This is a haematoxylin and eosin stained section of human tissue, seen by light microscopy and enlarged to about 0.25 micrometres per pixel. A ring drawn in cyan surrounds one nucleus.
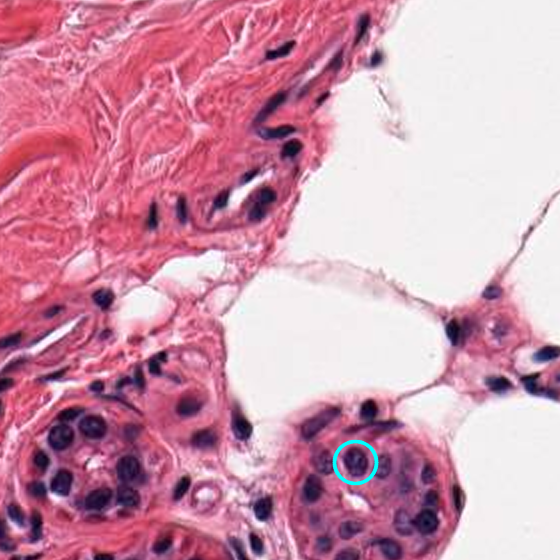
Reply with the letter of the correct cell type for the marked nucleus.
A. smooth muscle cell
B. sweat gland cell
B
